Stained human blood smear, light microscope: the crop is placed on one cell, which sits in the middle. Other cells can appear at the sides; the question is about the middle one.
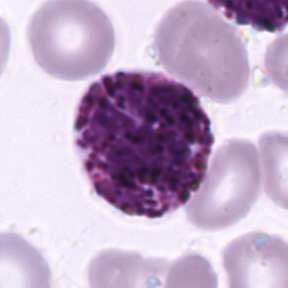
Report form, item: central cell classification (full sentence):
In the central position of this crop, the cell is a basophil.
